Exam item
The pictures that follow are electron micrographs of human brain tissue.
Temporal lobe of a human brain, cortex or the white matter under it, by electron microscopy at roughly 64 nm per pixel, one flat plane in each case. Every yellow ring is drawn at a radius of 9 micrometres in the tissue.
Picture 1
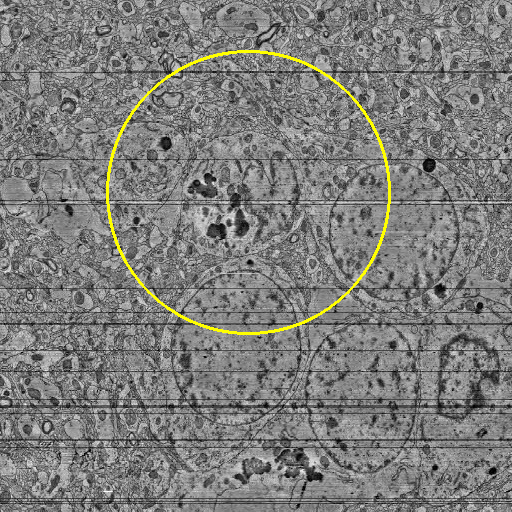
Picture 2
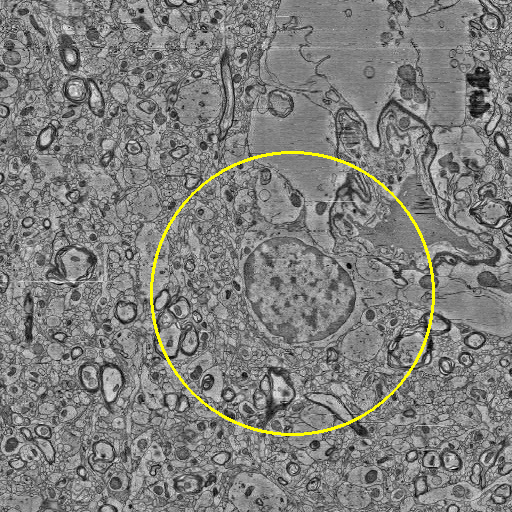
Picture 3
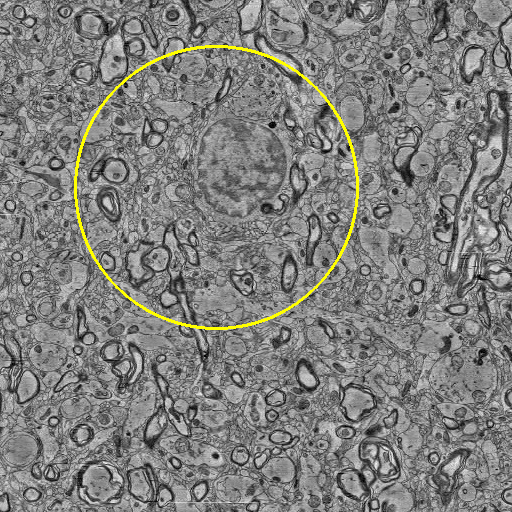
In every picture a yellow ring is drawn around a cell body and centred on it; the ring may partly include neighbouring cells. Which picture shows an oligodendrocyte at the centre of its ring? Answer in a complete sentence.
The cell at the centre of the ring in Picture 3 is the one asked for.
